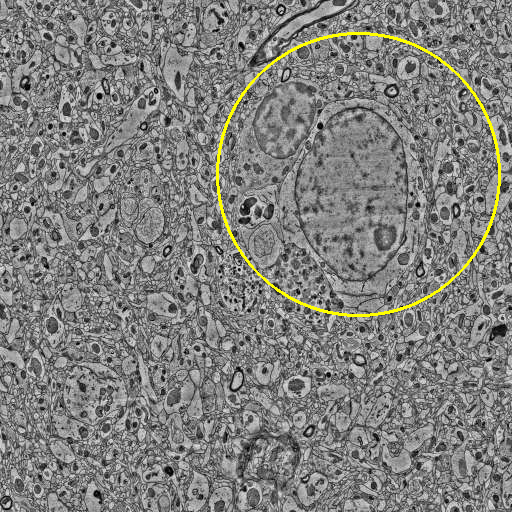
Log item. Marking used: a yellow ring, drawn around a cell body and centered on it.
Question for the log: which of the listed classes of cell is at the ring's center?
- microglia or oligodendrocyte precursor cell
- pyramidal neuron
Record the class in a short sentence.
At the center of the ring lies a pyramidal neuron.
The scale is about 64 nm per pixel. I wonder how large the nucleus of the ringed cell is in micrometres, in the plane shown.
In this plane the nucleus measures roughly 11 by 7 micrometres.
